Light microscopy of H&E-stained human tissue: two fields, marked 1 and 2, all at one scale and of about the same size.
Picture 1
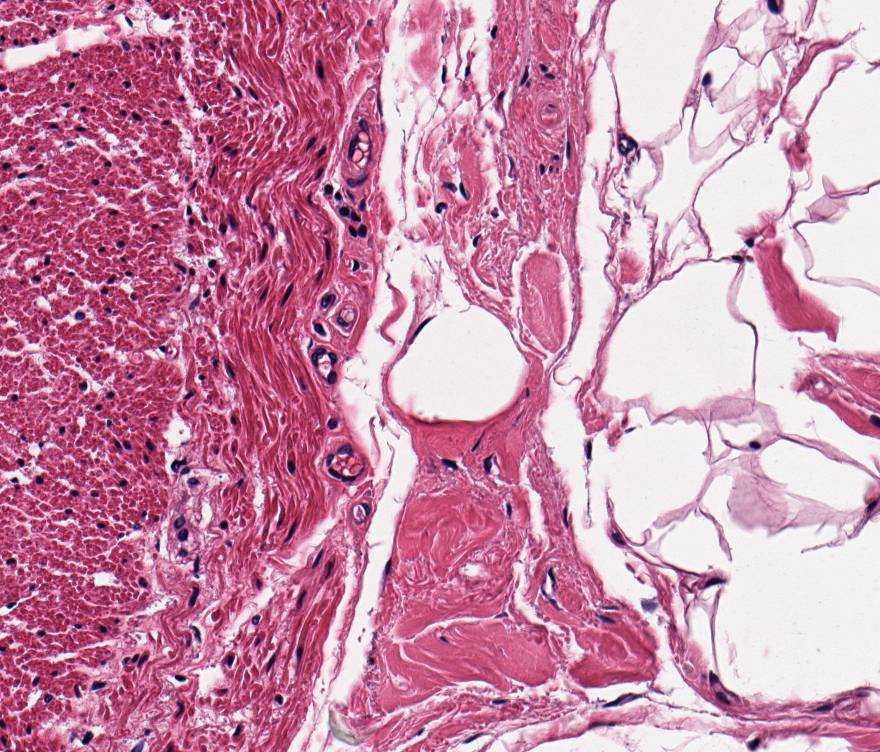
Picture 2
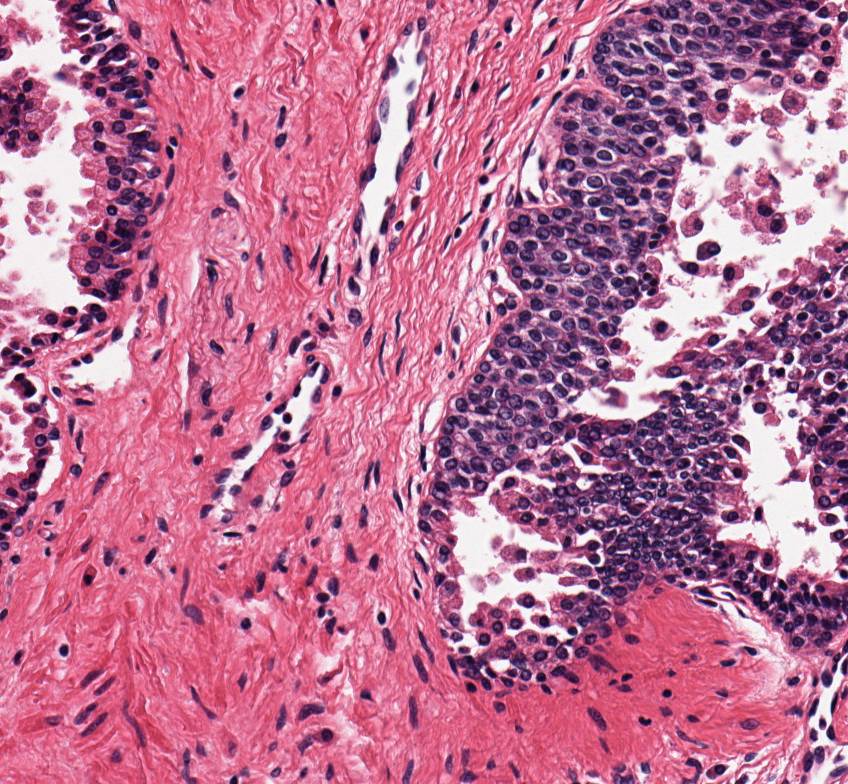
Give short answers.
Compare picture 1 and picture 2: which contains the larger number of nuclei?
2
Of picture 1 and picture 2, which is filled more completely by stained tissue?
2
